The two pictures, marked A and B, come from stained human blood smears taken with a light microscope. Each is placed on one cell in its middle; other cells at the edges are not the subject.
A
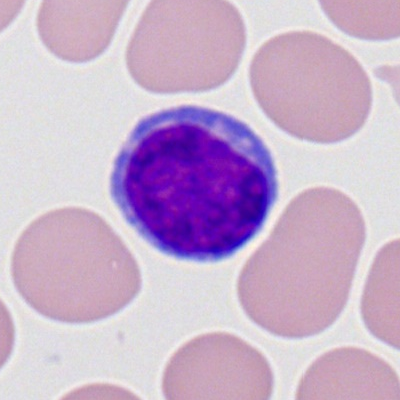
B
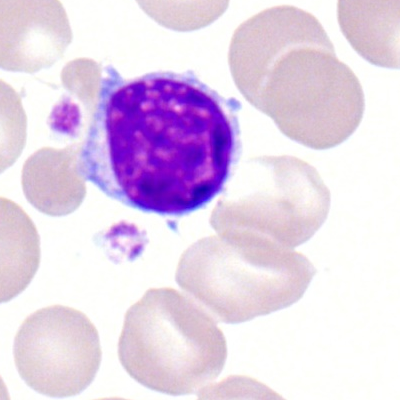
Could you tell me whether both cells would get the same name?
yes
